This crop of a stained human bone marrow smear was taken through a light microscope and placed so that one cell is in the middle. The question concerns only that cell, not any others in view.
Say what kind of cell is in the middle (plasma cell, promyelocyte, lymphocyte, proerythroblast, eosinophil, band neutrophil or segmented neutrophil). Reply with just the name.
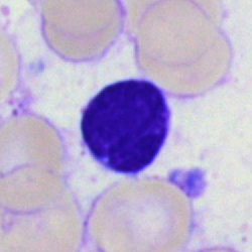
lymphocyte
